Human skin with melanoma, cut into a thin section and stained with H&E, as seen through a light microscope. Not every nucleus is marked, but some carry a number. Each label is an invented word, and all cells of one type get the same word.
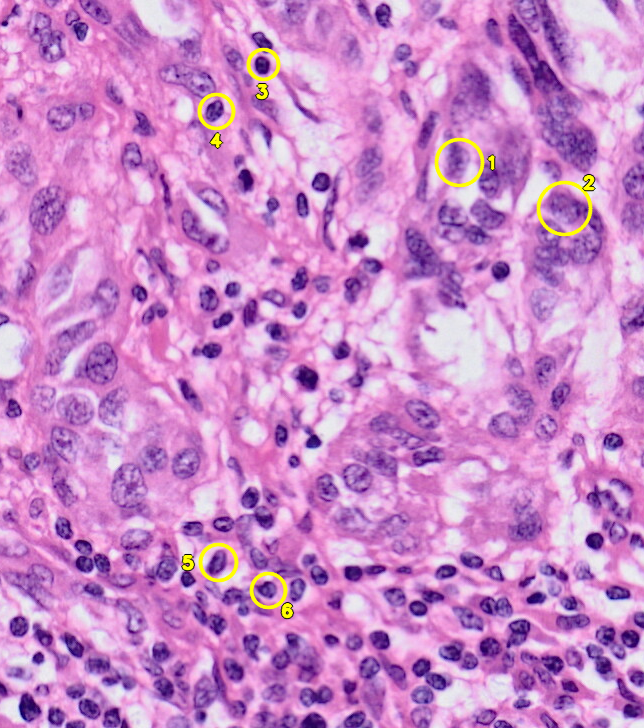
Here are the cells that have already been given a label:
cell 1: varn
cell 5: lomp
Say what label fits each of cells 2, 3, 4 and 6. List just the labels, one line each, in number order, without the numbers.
varn
lomp
lomp
lomp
